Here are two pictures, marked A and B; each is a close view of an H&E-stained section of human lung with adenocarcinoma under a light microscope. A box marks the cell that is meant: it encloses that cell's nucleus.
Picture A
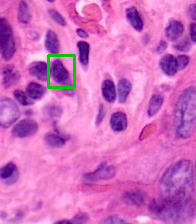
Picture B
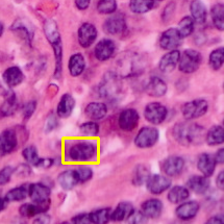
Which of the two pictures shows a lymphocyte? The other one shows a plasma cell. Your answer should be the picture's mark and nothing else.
A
